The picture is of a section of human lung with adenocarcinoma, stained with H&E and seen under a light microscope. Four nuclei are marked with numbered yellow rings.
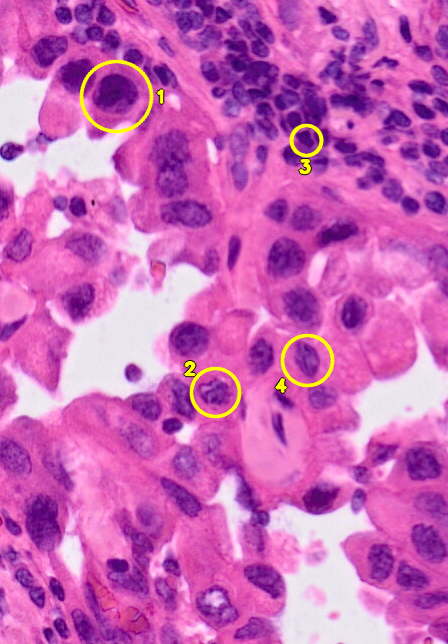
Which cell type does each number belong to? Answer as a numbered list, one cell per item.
1. carcinoma cell
2. carcinoma cell
3. lymphocyte
4. carcinoma cell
